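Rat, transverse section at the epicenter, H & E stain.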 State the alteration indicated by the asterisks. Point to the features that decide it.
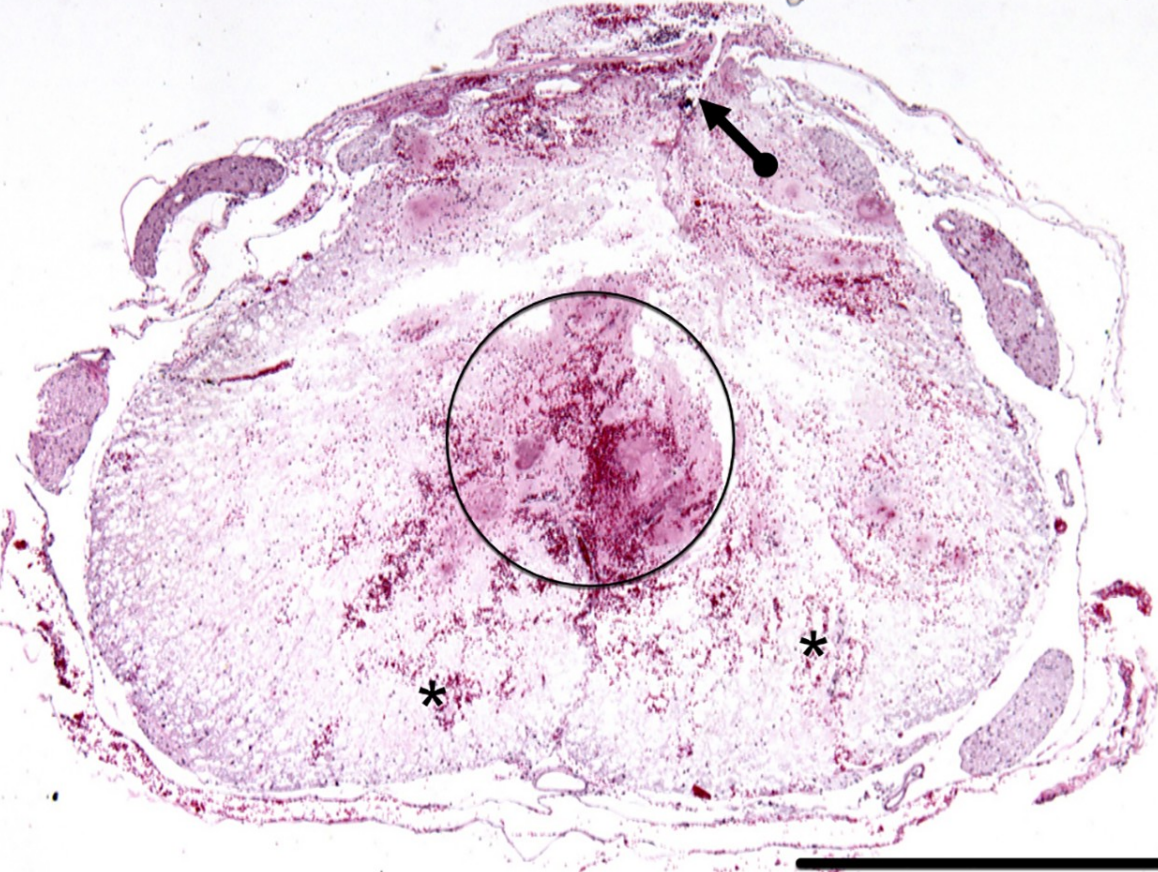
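Small scattered clusters of bright red cells lie next to the asterisks. The tissue around these clusters is pale and finely vacuolated.
Petechial hemorrhaging.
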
